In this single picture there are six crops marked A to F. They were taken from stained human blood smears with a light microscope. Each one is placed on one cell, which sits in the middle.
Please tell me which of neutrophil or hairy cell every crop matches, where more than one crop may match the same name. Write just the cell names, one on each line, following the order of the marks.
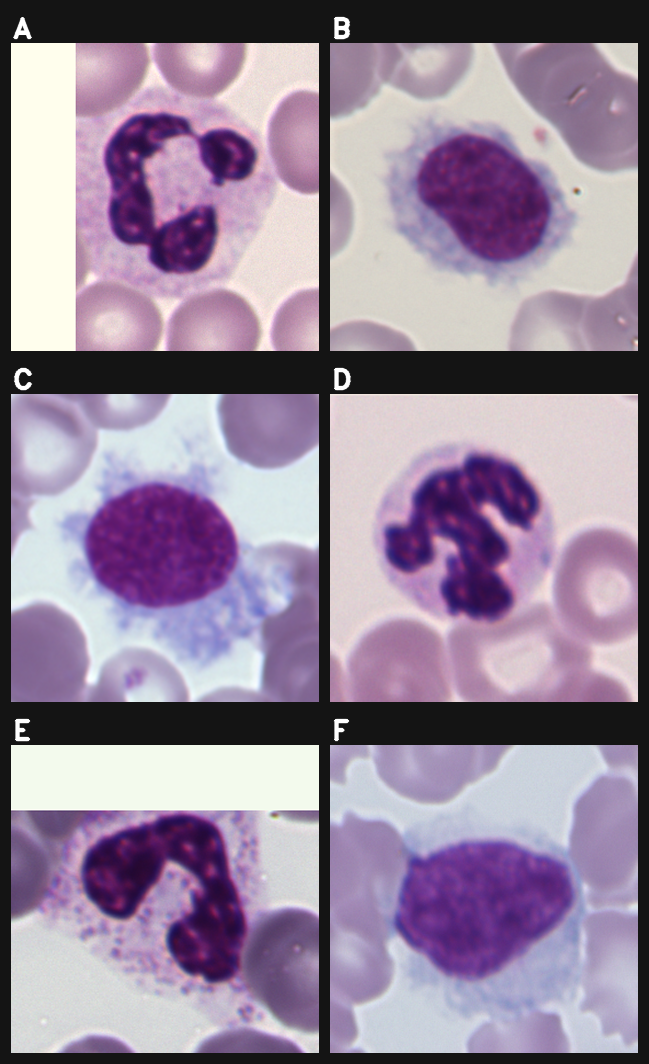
neutrophil
hairy cell
hairy cell
neutrophil
neutrophil
hairy cell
